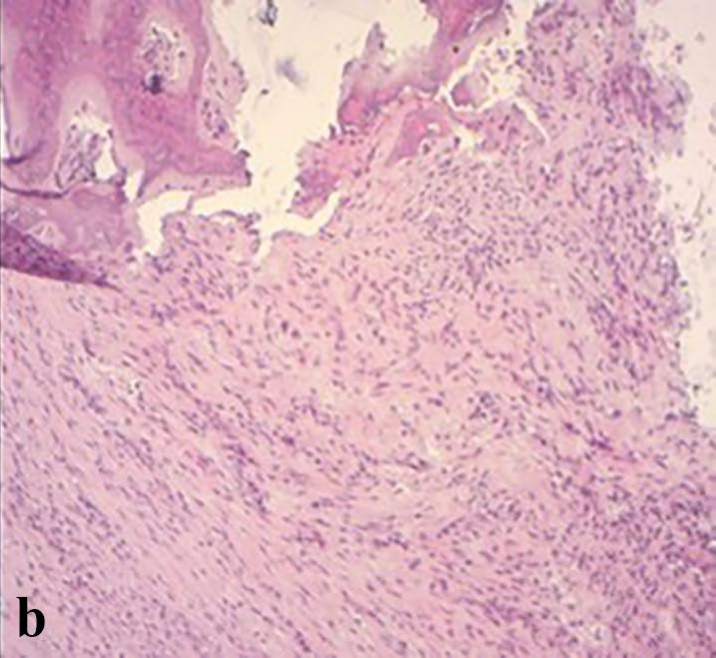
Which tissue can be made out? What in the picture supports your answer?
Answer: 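Most of the panel is pink fibrous stroma with many spindle-shaped nuclei. Many small dark round nuclei are scattered through the stroma, denser toward the right. So: fibro-inflammatory tissue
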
